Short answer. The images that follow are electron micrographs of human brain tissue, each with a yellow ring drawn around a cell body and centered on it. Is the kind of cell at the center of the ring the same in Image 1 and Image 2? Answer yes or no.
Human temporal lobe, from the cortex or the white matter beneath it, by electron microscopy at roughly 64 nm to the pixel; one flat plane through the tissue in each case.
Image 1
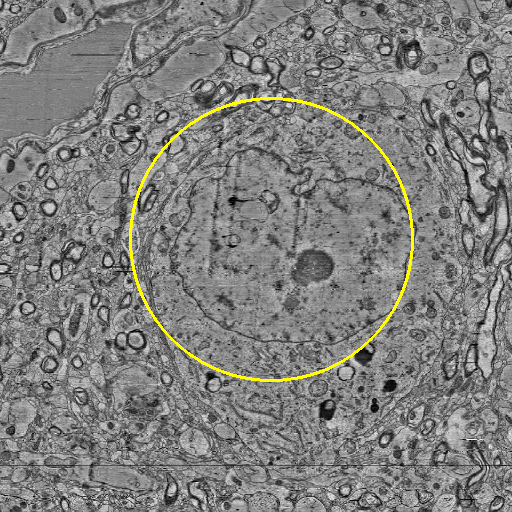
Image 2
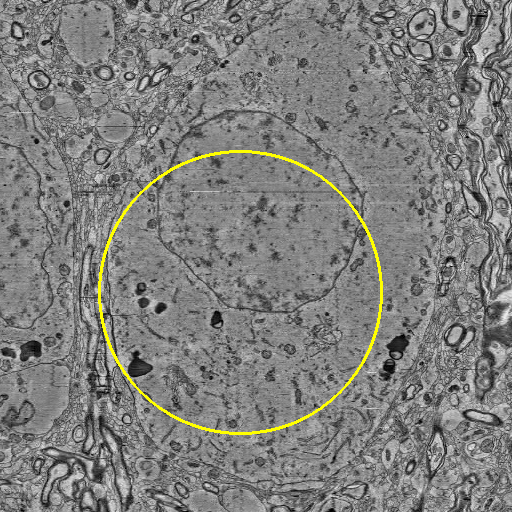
yes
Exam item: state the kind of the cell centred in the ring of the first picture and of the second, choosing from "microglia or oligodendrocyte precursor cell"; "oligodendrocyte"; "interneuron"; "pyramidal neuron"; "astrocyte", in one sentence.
In the first picture and in the second, the ring is centred on a pyramidal neuron.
